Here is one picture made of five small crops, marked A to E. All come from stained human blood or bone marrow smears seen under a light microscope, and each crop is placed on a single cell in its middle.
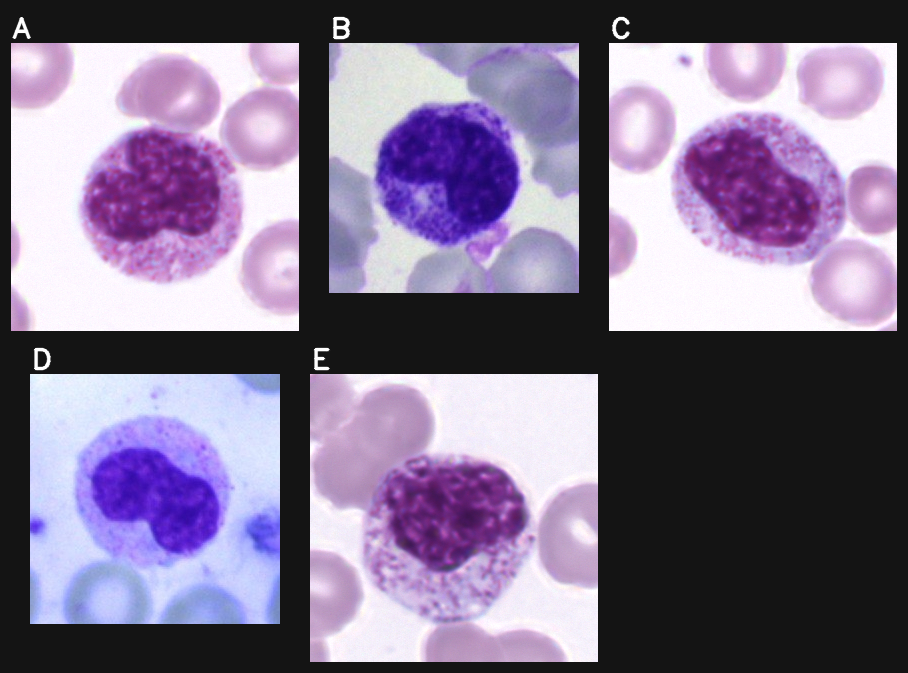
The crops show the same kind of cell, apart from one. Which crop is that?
A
